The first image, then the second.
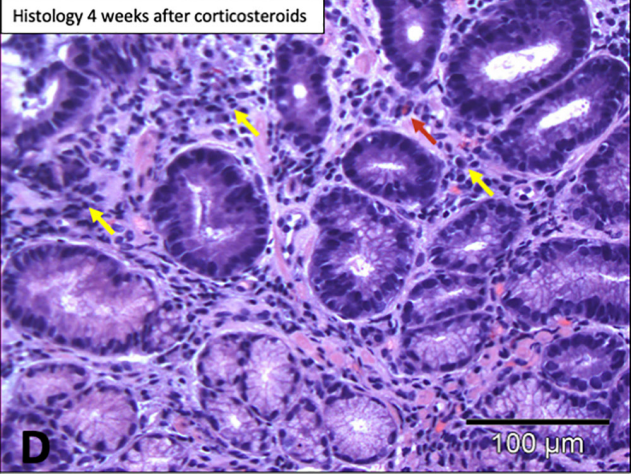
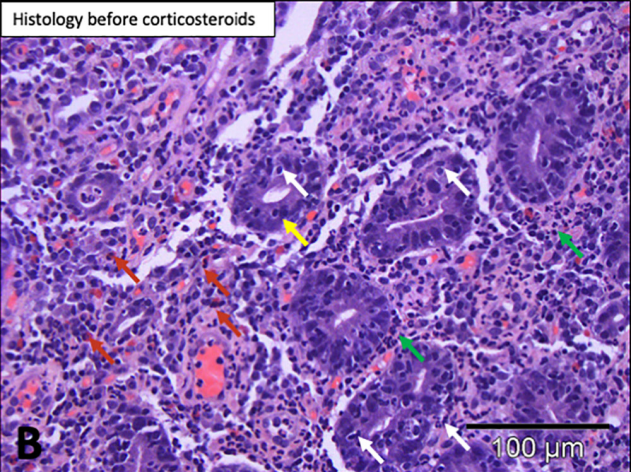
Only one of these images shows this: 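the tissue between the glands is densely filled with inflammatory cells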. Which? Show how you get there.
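Second image: glands are pushed apart by tissue crowded with many small dark nuclei.
Conclusion: the second image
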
